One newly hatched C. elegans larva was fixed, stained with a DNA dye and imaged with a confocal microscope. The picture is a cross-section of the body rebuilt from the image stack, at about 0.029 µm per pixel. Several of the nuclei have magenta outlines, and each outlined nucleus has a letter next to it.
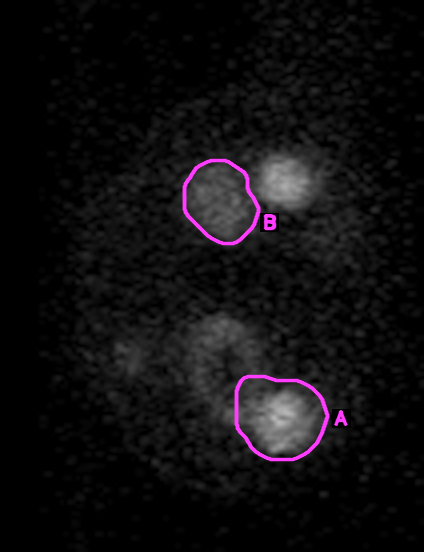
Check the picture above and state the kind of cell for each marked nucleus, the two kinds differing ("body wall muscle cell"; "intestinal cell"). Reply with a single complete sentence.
A belongs to a body wall muscle cell and B to an intestinal cell.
